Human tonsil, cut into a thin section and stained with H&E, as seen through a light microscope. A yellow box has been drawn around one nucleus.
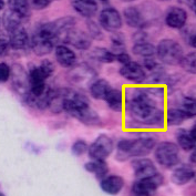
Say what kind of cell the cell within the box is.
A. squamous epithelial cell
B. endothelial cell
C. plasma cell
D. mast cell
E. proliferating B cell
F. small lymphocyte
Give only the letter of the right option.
E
